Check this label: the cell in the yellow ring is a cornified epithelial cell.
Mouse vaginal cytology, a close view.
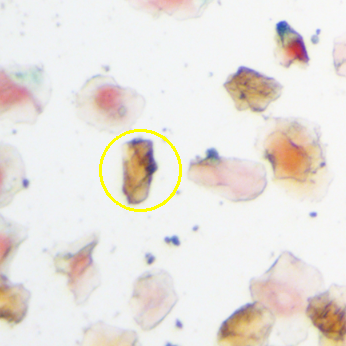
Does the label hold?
The label holds; the cell is a cornified epithelial cell.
